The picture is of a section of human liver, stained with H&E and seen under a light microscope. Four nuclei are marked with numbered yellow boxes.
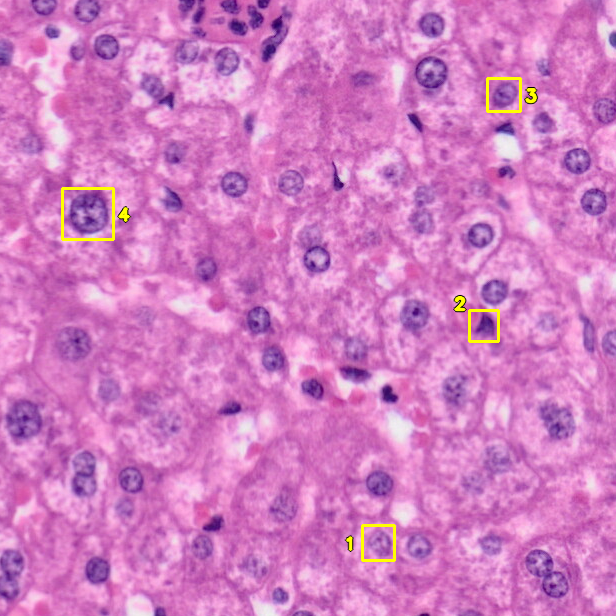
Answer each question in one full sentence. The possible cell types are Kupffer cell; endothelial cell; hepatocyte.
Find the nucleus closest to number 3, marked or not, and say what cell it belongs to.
The cell nearest to number 3 is an endothelial cell.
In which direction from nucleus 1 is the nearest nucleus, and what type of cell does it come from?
The nearest one is a hepatocyte, found to the right of nucleus 1.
